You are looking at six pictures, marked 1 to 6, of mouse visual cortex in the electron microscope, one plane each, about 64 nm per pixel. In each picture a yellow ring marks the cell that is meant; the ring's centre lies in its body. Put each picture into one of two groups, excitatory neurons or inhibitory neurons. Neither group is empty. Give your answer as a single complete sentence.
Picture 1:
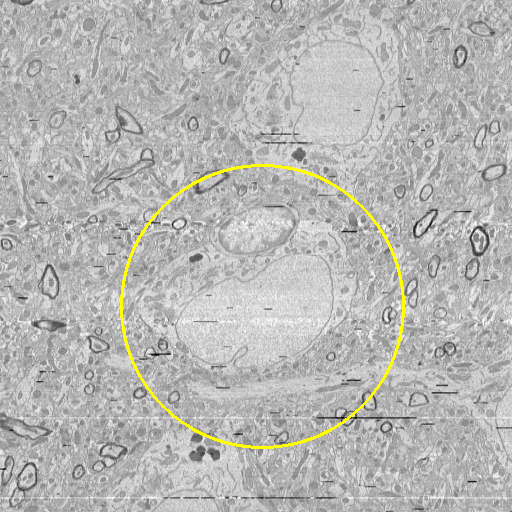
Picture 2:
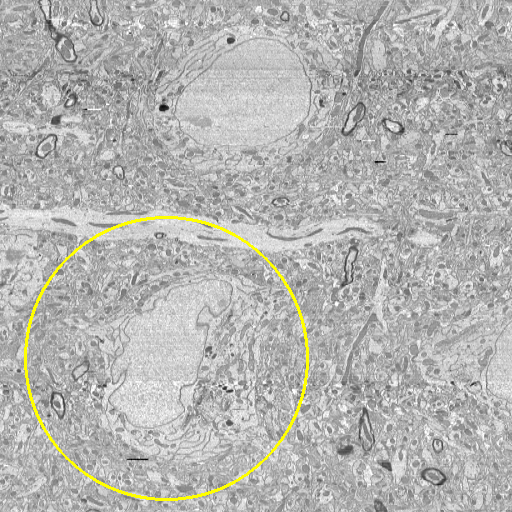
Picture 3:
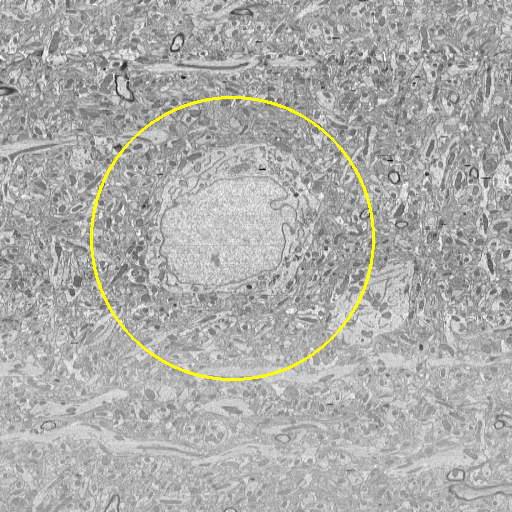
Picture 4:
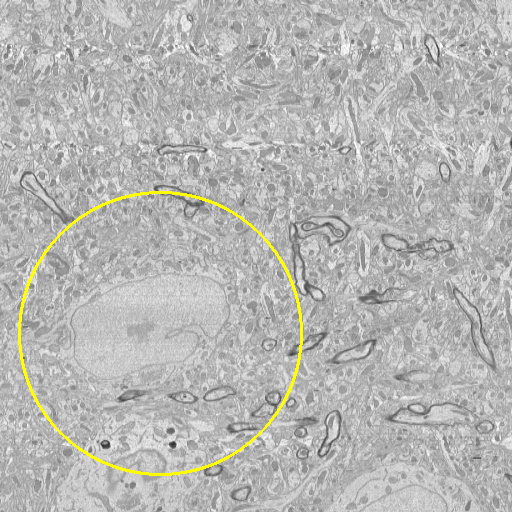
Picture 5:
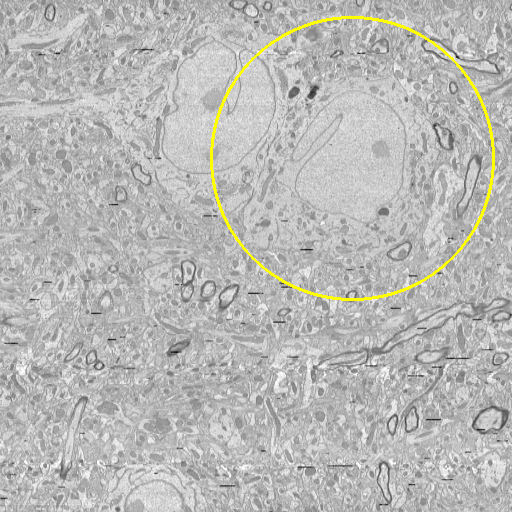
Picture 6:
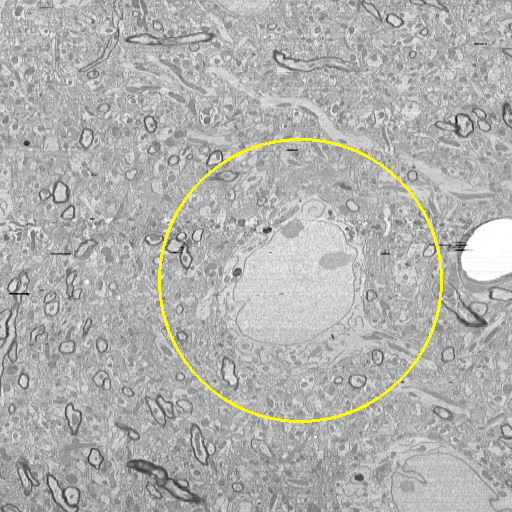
Pictures 1, 5 and 6 show excitatory neurons, while pictures 2, 3 and 4 show inhibitory neurons.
